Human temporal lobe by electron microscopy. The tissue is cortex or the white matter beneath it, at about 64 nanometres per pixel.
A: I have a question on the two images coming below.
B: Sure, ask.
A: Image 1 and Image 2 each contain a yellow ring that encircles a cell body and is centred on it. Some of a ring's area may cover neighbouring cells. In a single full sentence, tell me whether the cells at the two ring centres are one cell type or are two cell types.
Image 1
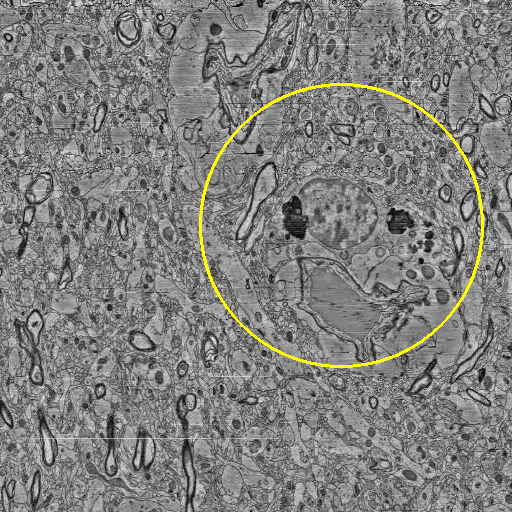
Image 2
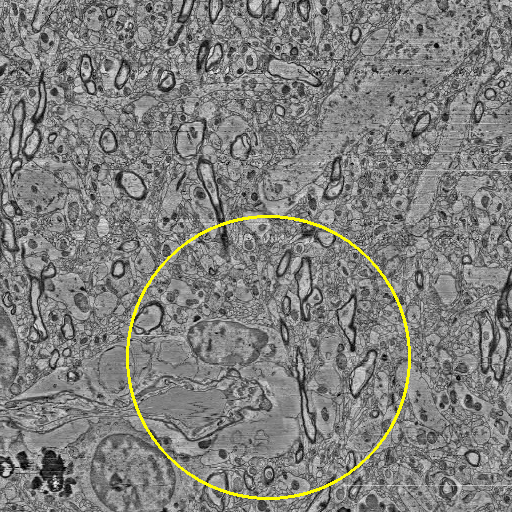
As for the ring-centre cells, the one in Image 1 and the one in Image 2 are two cell types.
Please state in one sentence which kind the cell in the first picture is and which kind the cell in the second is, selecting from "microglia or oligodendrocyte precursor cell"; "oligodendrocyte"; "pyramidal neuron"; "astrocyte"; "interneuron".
The first ringed cell is an oligodendrocyte, the second ringed cell a microglial cell or oligodendrocyte precursor cell.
